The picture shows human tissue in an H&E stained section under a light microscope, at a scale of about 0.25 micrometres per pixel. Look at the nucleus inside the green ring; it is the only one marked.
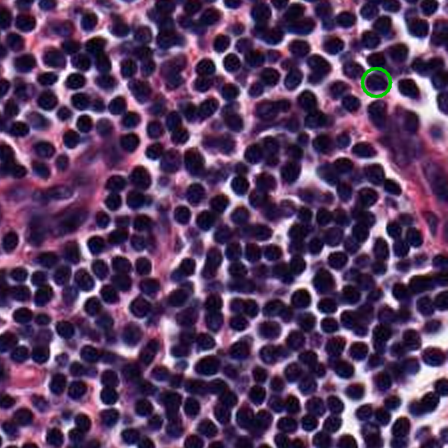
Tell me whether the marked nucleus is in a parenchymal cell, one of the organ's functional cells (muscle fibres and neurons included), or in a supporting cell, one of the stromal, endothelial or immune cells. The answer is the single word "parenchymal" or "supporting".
supporting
